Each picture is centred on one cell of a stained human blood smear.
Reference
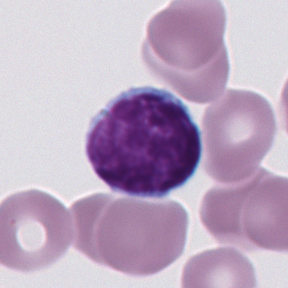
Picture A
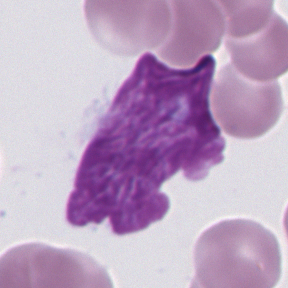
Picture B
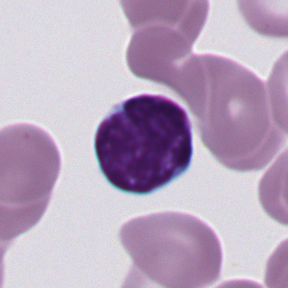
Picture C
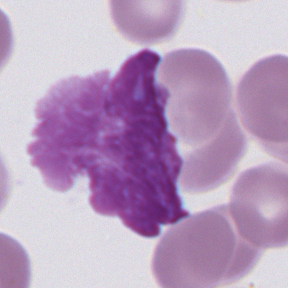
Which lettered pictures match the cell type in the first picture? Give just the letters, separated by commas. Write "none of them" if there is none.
B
